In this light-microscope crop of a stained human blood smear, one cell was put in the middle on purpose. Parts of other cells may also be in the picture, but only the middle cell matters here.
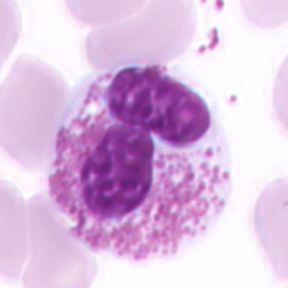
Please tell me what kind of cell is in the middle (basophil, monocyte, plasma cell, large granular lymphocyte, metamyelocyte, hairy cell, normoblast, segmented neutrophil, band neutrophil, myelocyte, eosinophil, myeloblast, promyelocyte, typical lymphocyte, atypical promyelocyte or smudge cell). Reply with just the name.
eosinophil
